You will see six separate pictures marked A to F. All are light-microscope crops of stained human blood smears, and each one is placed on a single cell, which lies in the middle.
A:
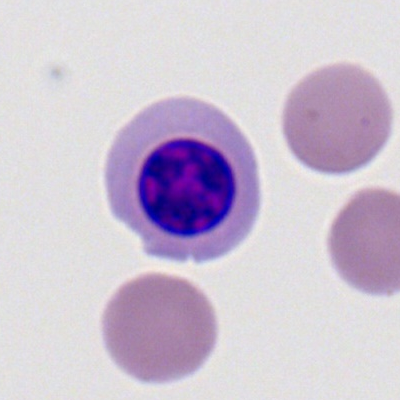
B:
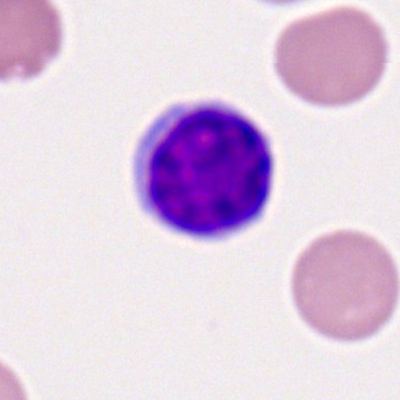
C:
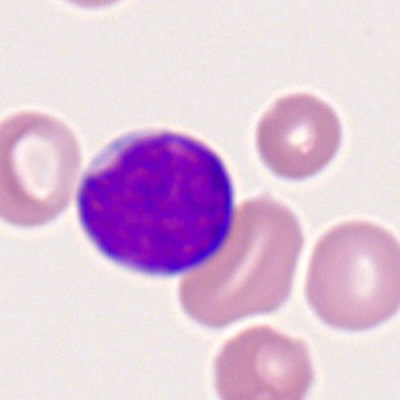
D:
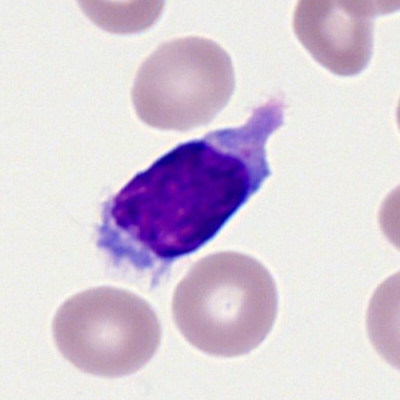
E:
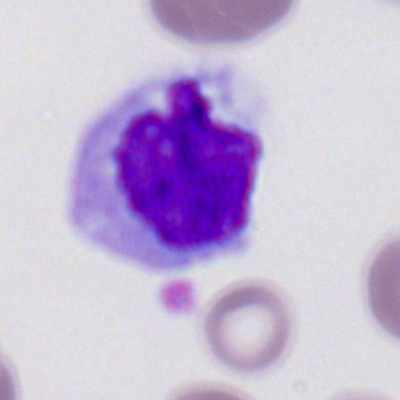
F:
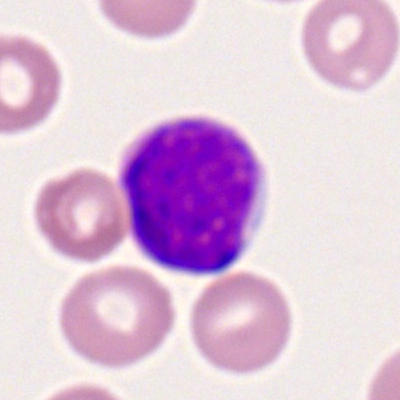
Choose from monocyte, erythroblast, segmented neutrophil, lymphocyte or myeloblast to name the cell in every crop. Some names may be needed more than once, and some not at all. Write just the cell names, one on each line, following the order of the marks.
erythroblast
lymphocyte
myeloblast
lymphocyte
monocyte
lymphocyte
